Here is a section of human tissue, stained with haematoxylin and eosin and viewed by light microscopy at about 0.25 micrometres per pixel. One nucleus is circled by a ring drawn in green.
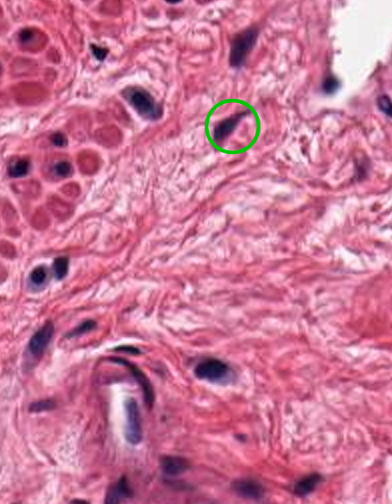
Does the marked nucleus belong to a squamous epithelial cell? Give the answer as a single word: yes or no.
no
